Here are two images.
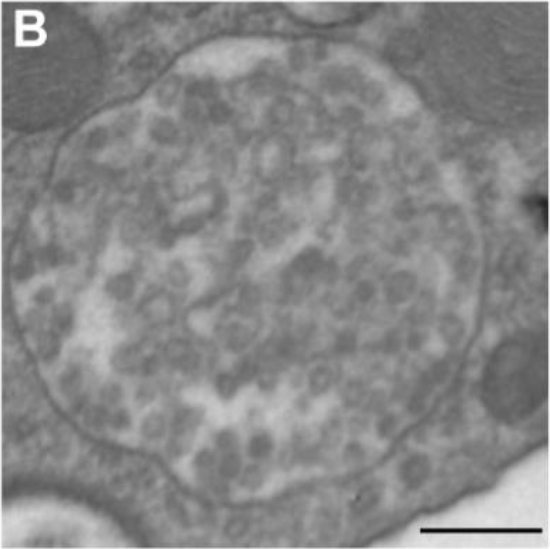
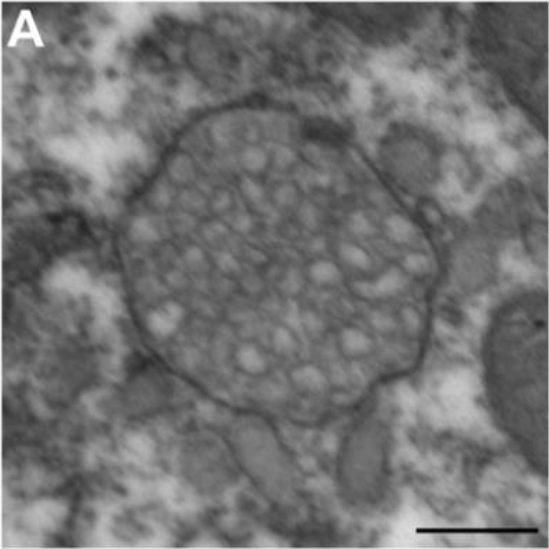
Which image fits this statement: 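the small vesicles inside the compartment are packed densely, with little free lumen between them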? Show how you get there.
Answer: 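First image: the vesicles inside the large compartment are spread out, with wide pale areas of empty lumen between them. Second image: the vesicles fill the compartment closely, with only narrow spaces between them.
Conclusion: the second image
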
